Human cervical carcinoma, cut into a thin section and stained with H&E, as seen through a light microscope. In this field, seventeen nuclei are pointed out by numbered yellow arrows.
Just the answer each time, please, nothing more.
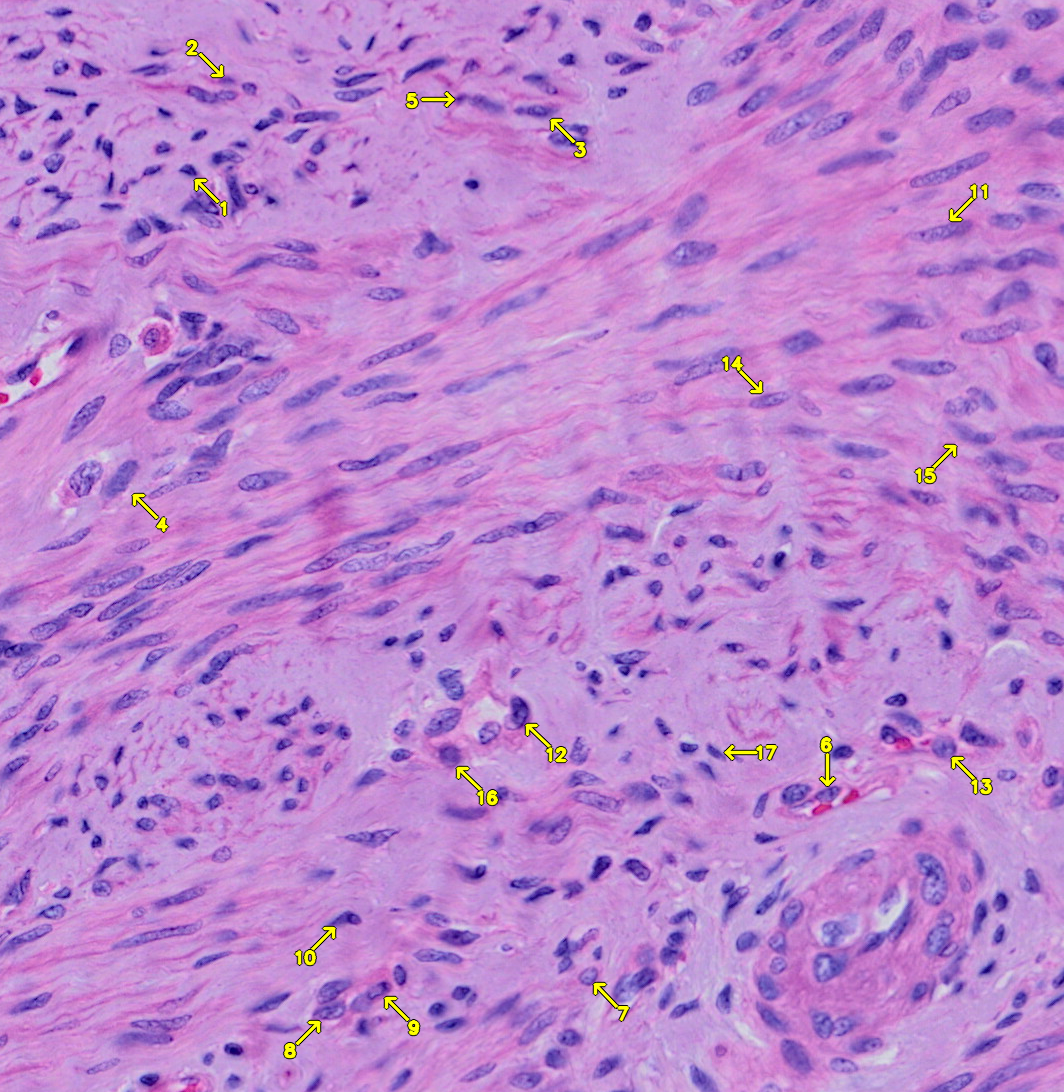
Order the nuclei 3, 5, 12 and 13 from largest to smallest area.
12, 13, 3, 5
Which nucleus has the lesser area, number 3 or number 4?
3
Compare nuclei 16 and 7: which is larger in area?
16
